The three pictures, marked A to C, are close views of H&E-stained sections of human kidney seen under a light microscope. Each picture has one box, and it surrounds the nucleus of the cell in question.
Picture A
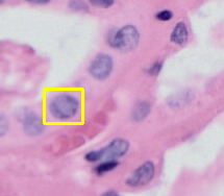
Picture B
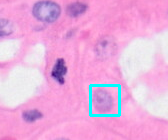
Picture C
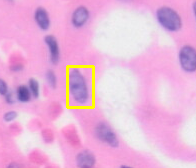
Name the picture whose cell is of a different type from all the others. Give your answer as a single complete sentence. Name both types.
Unlike the rest, which show collecting duct cells, picture B shows a proximal tubule cell.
